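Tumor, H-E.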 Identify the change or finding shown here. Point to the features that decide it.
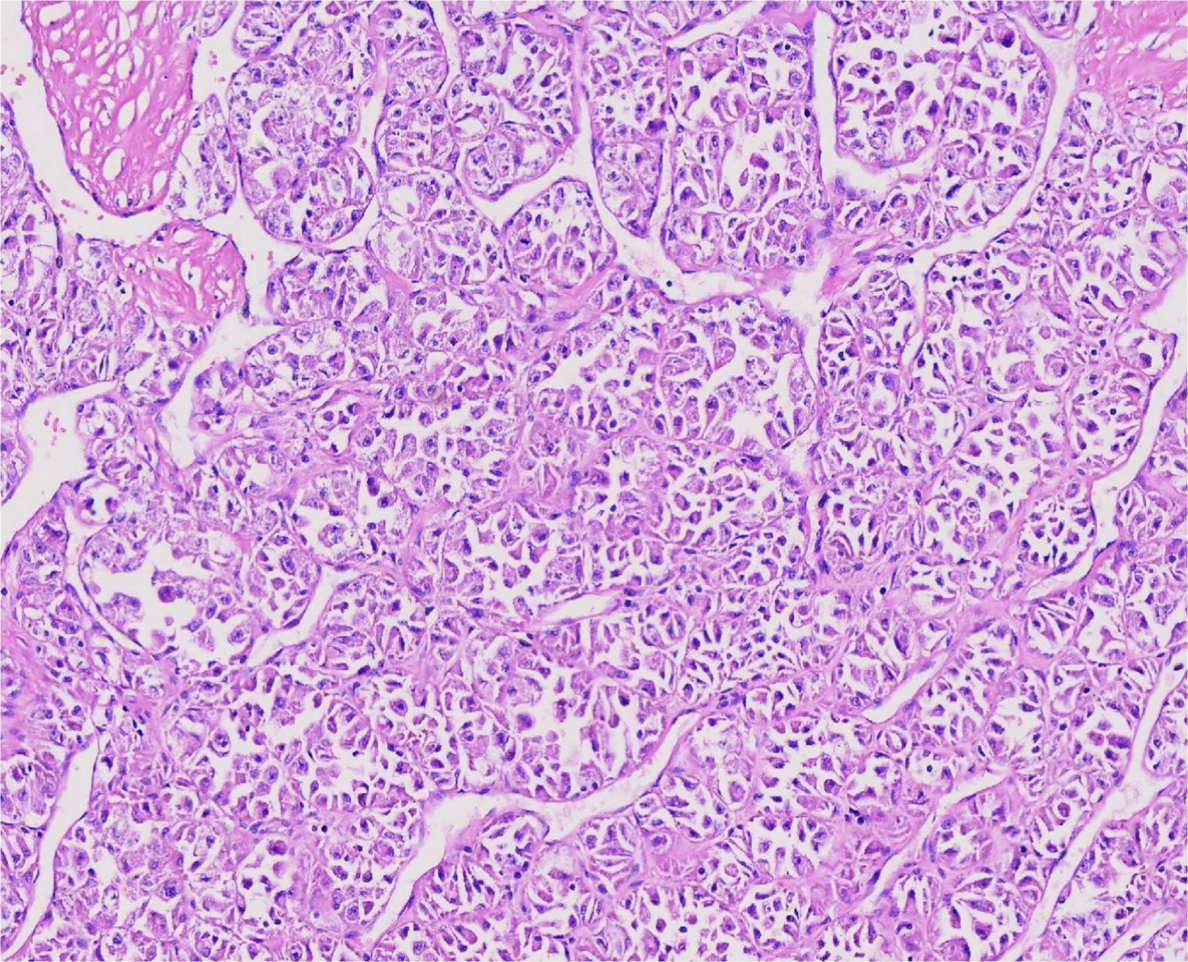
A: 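The tumor cells are large and many-sided. Their cytoplasm is plentiful and pink. So: large polygonal shapes with abundant eosinophilic cytoplasm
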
